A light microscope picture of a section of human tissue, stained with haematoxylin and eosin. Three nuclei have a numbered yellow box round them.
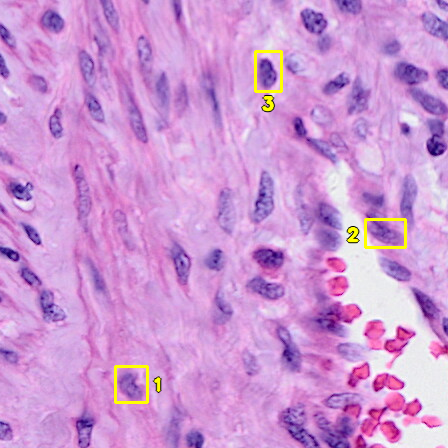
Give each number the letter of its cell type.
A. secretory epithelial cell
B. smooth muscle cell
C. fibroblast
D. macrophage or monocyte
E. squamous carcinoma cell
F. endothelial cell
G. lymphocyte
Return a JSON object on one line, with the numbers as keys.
{"1": "B", "2": "F", "3": "G"}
